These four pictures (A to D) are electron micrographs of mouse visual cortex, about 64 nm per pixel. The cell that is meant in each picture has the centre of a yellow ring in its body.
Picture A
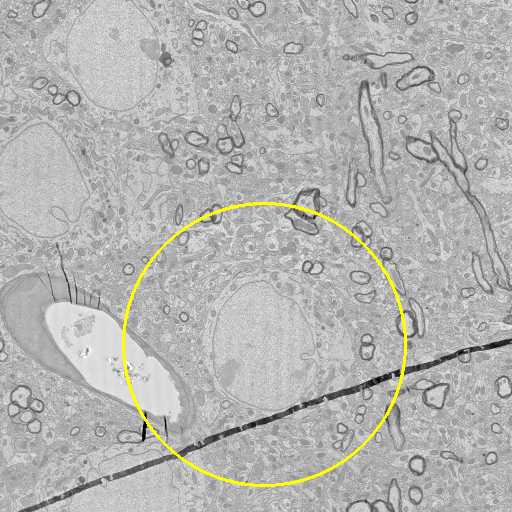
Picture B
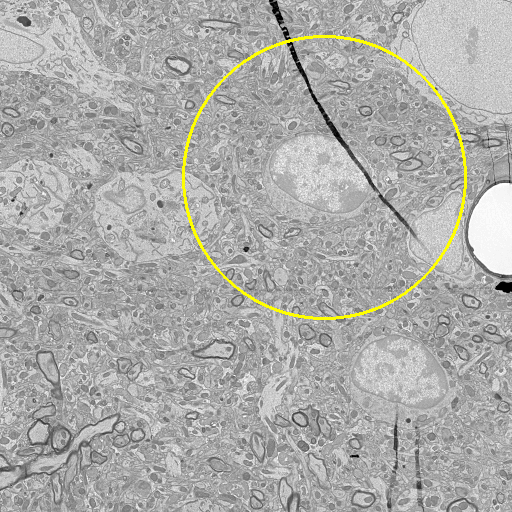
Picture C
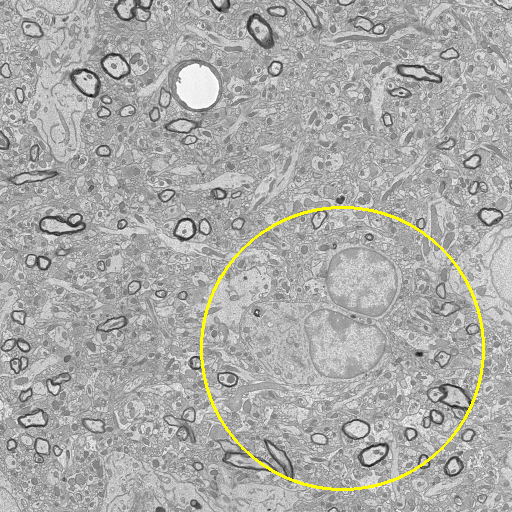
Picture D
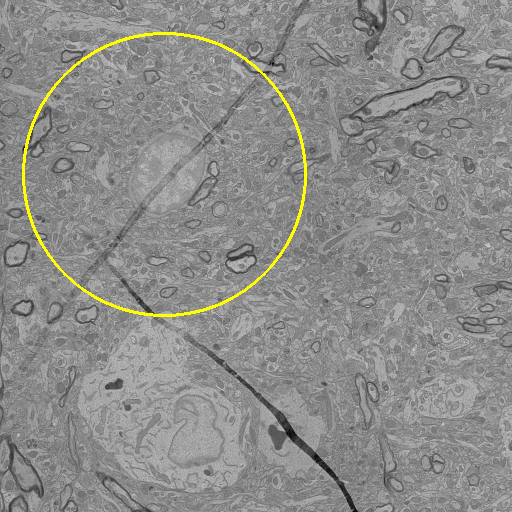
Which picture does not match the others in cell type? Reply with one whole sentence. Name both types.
Picture A differs, because its cell is an excitatory neuron and the rest are oligodendrocytes.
